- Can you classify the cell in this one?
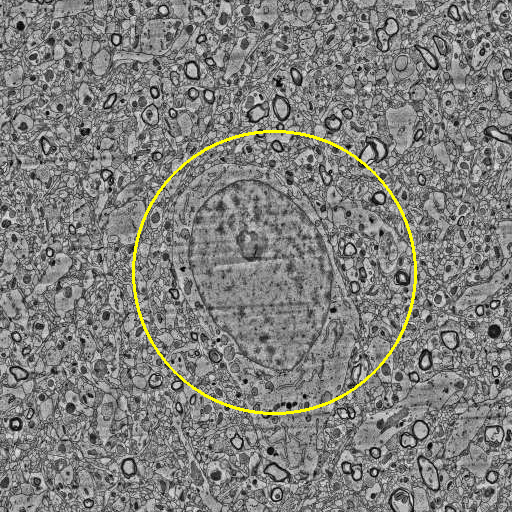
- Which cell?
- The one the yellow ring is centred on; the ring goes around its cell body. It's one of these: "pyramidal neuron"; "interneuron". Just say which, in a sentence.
The cell body in the ring belongs to an interneuron.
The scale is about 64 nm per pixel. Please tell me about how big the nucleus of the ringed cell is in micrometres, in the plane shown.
In this plane the nucleus is about 12 micrometres by 9.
